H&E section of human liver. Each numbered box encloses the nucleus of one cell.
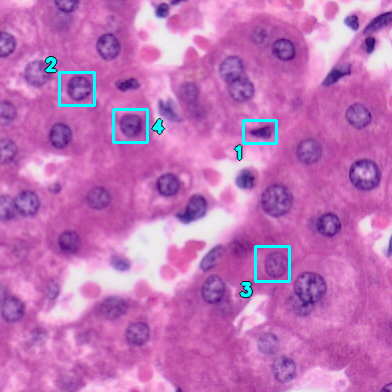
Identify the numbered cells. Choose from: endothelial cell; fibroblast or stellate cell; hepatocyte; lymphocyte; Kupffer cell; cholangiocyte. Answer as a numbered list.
1. fibroblast or stellate cell
2. hepatocyte
3. hepatocyte
4. hepatocyte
